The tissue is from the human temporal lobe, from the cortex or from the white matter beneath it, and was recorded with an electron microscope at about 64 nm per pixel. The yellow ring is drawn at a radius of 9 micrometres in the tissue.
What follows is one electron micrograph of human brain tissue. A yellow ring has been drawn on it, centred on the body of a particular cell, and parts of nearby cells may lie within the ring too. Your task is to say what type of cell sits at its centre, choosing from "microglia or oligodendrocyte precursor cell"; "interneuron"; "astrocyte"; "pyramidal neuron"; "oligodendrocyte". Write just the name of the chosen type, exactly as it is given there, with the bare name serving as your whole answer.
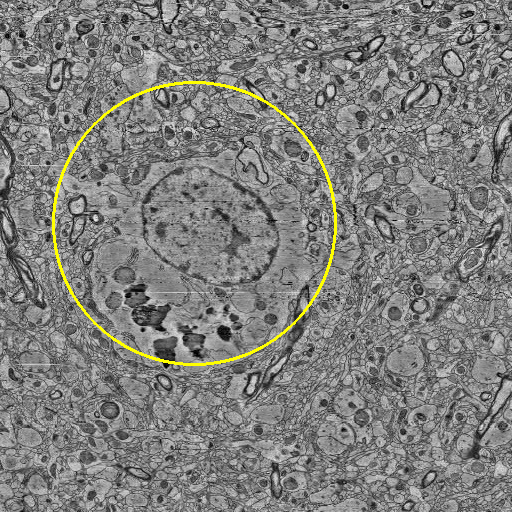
astrocyte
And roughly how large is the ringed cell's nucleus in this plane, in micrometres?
The nucleus has a long axis of about 9 micrometres and a short axis of about 7 micrometres in this plane.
